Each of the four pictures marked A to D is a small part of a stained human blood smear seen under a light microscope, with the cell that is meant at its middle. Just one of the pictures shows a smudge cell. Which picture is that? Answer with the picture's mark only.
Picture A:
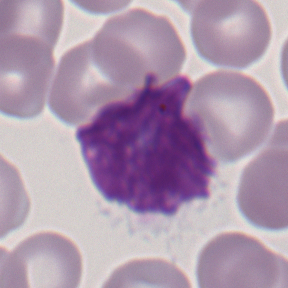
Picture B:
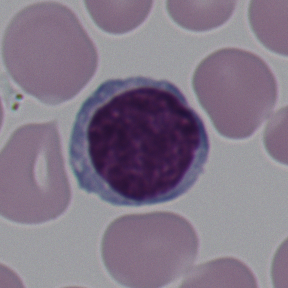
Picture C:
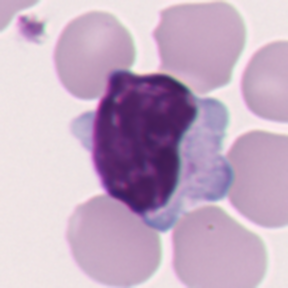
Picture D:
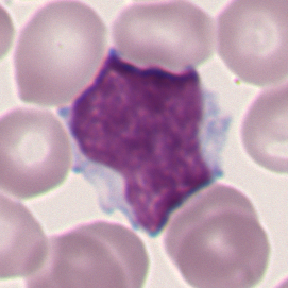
A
